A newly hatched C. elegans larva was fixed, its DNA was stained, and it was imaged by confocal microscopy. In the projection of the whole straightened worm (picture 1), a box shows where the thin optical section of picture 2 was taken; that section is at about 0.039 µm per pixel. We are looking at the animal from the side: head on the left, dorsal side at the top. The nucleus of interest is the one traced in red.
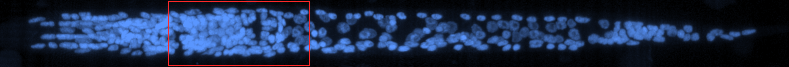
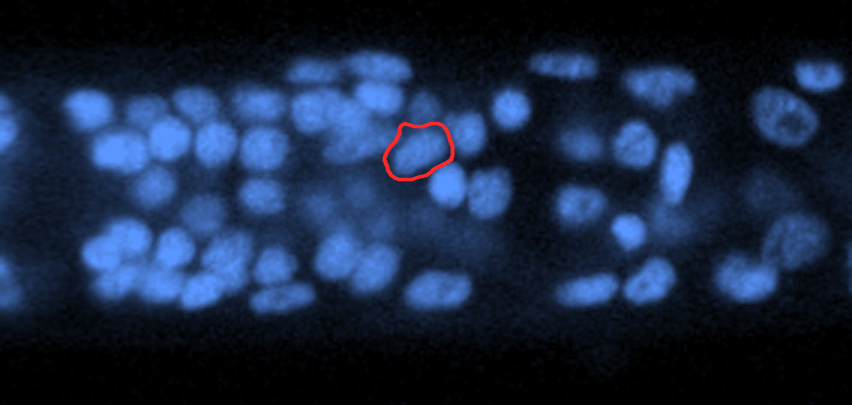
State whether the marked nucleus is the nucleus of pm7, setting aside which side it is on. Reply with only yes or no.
no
